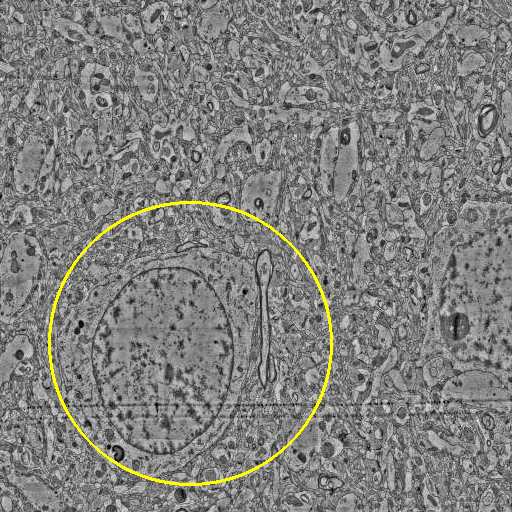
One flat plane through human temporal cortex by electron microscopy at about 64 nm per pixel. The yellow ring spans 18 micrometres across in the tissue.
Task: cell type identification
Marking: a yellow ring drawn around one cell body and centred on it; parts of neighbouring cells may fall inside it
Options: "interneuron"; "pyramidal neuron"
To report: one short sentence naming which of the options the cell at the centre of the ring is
The cell at the centre of the ring is a pyramidal neuron.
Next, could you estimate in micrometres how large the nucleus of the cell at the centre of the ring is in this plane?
Roughly 12 by 9 micrometres in this plane, for the nucleus of the ringed cell.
